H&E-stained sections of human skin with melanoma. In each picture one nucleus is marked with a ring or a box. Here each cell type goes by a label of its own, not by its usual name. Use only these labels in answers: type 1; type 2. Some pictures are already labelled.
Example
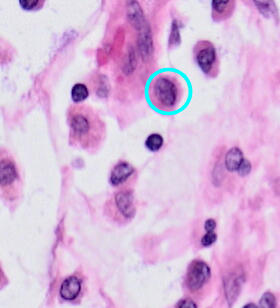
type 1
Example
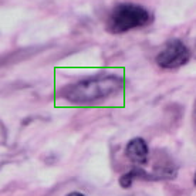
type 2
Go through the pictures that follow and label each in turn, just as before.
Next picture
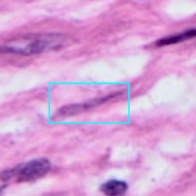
type 2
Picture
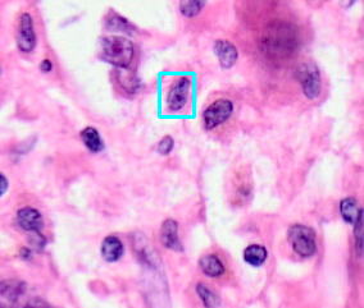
type 1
